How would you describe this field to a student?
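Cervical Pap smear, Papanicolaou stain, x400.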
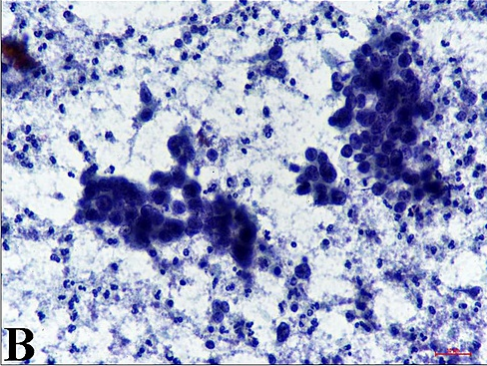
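The cells in the clusters have large, dark blue nuclei that take up most of each cell, leaving only scant cytoplasm. The cells are crowded and overlapping, forming irregular three-dimensional groups. Between the clusters, numerous small scattered cells and granular debris fill the background.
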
